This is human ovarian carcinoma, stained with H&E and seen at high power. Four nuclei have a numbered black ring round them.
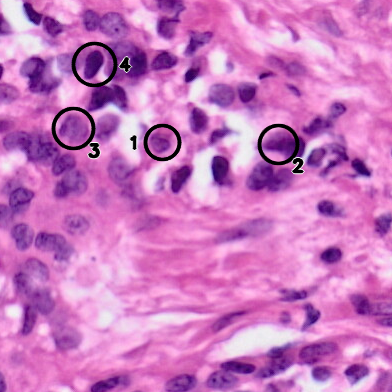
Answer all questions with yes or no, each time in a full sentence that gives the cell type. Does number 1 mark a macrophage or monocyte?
Yes, it checks out; the cell labelled 1 is a macrophage or monocyte.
